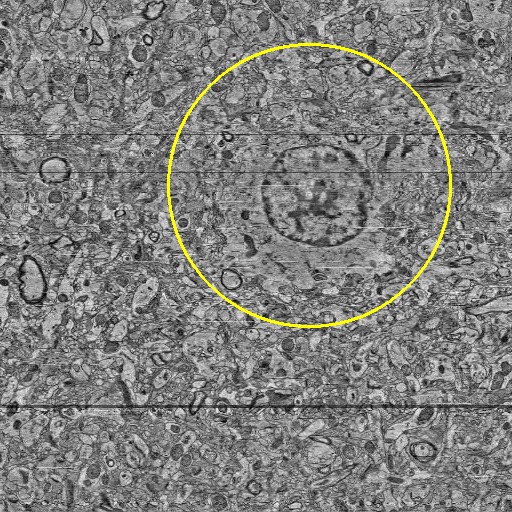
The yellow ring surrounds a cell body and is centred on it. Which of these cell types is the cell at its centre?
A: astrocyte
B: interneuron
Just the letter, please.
A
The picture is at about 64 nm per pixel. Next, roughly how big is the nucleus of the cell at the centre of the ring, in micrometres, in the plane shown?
Roughly 7 micrometers across, in this plane.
